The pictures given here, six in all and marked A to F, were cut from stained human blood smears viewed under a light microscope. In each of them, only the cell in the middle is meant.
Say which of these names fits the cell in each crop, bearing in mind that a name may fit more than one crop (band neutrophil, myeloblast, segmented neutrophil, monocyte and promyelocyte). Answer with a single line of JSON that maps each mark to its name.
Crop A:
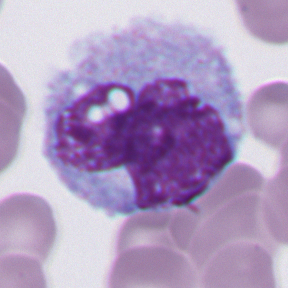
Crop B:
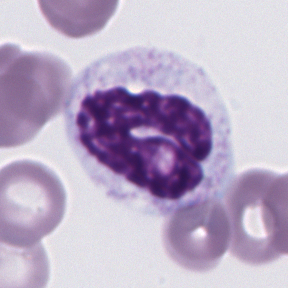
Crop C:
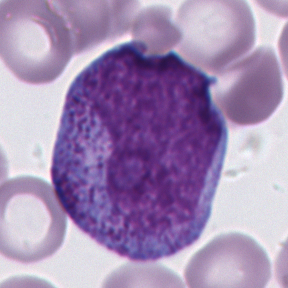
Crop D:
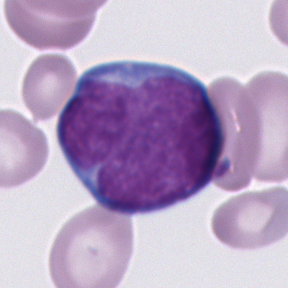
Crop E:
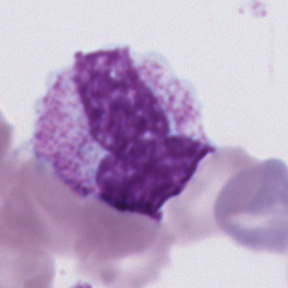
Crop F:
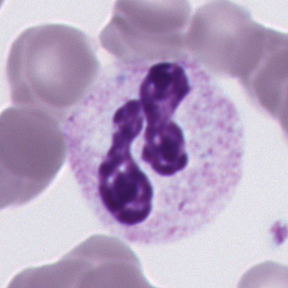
{"A": "monocyte", "B": "band neutrophil", "C": "promyelocyte", "D": "myeloblast", "E": "band neutrophil", "F": "segmented neutrophil"}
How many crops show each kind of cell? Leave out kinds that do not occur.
band neutrophil: 2
monocyte: 1
promyelocyte: 1
myeloblast: 1
segmented neutrophil: 1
